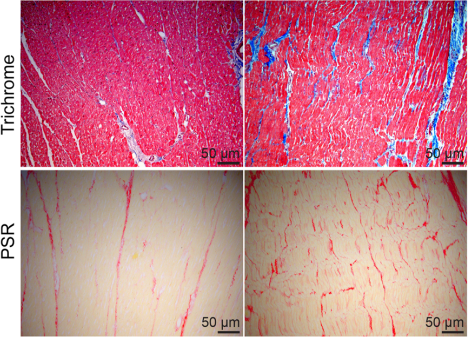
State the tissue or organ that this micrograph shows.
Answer: Hearts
